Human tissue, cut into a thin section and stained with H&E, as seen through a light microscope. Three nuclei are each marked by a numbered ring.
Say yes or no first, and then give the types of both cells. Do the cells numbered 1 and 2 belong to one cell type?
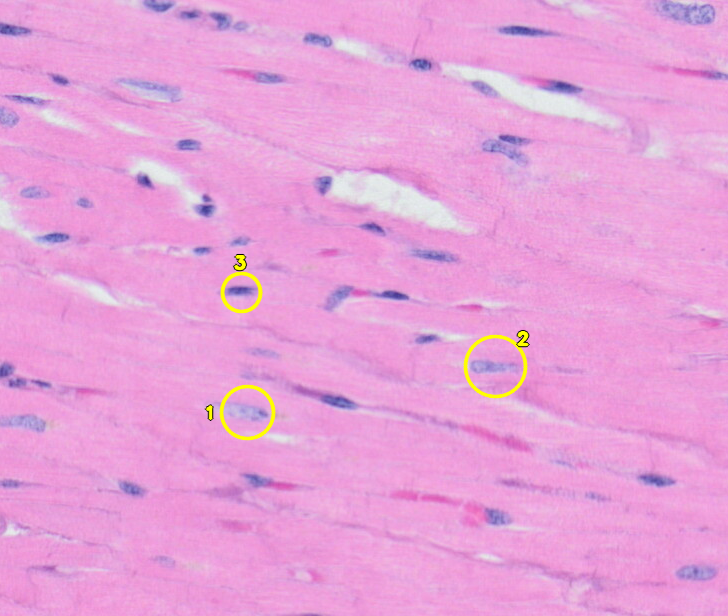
Yes, cells 1 and 2 are cardiomyocytes, both of them.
